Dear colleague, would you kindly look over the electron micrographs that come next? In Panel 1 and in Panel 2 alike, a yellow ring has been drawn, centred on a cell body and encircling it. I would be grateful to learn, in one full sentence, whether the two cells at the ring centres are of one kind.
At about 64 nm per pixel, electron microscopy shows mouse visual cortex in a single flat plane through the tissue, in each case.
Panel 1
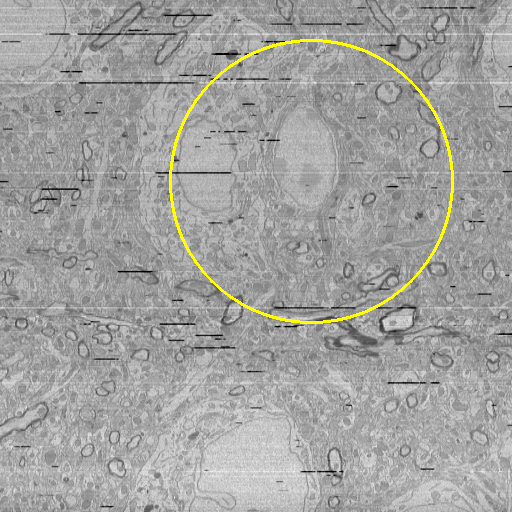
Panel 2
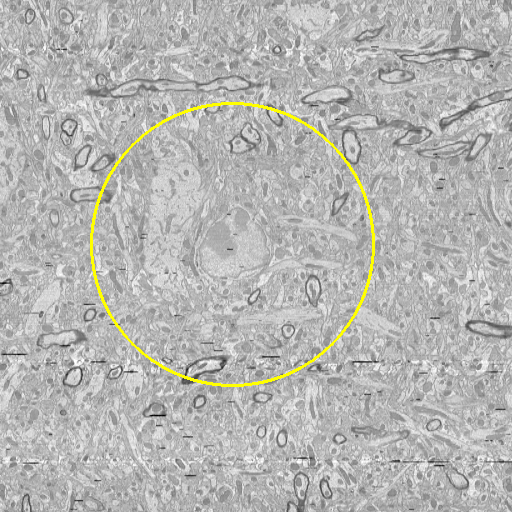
Yes, the cells in the middle of the rings in the two panels are of one kind.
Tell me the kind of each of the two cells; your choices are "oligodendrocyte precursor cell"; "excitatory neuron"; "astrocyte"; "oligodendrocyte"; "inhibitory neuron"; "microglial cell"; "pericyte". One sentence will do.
The cell at the ring centre is an oligodendrocyte precursor cell in both pictures.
